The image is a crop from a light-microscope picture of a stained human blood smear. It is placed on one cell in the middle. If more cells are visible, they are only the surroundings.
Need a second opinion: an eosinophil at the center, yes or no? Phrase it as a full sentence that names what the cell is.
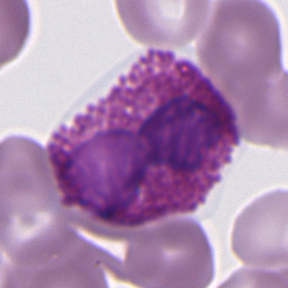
Yes, the cell here in the middle is an eosinophil.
